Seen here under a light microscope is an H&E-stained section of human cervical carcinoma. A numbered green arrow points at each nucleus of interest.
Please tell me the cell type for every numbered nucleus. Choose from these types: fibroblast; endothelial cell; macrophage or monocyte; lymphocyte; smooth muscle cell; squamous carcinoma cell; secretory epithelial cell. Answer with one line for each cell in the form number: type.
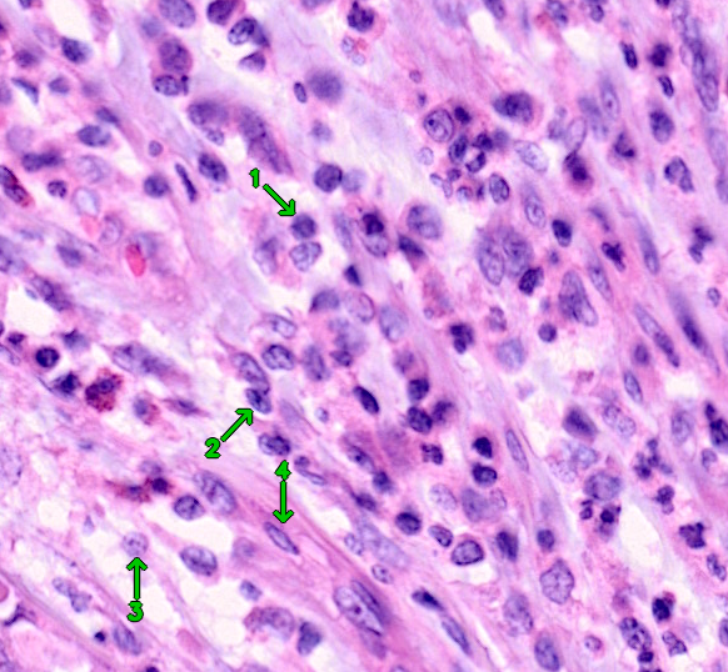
1: lymphocyte
2: lymphocyte
3: fibroblast
4: endothelial cell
